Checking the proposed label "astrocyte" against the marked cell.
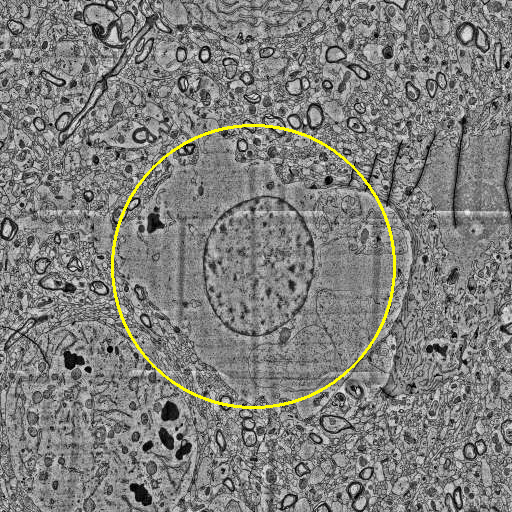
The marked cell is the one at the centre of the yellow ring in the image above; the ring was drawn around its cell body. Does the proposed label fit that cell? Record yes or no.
yes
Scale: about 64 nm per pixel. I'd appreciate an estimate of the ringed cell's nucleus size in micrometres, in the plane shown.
The nucleus appears roughly 9 by 6 micrometres in this plane.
